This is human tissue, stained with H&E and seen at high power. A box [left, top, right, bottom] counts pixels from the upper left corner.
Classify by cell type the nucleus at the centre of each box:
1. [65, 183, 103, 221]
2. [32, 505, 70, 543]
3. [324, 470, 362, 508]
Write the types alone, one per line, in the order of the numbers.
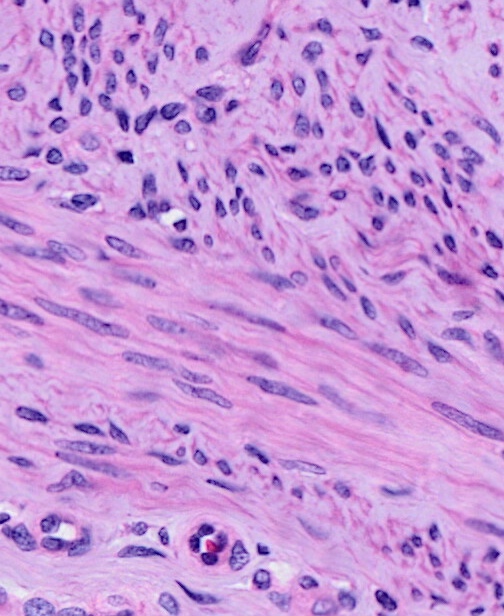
lymphocyte
endothelial cell
smooth muscle cell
